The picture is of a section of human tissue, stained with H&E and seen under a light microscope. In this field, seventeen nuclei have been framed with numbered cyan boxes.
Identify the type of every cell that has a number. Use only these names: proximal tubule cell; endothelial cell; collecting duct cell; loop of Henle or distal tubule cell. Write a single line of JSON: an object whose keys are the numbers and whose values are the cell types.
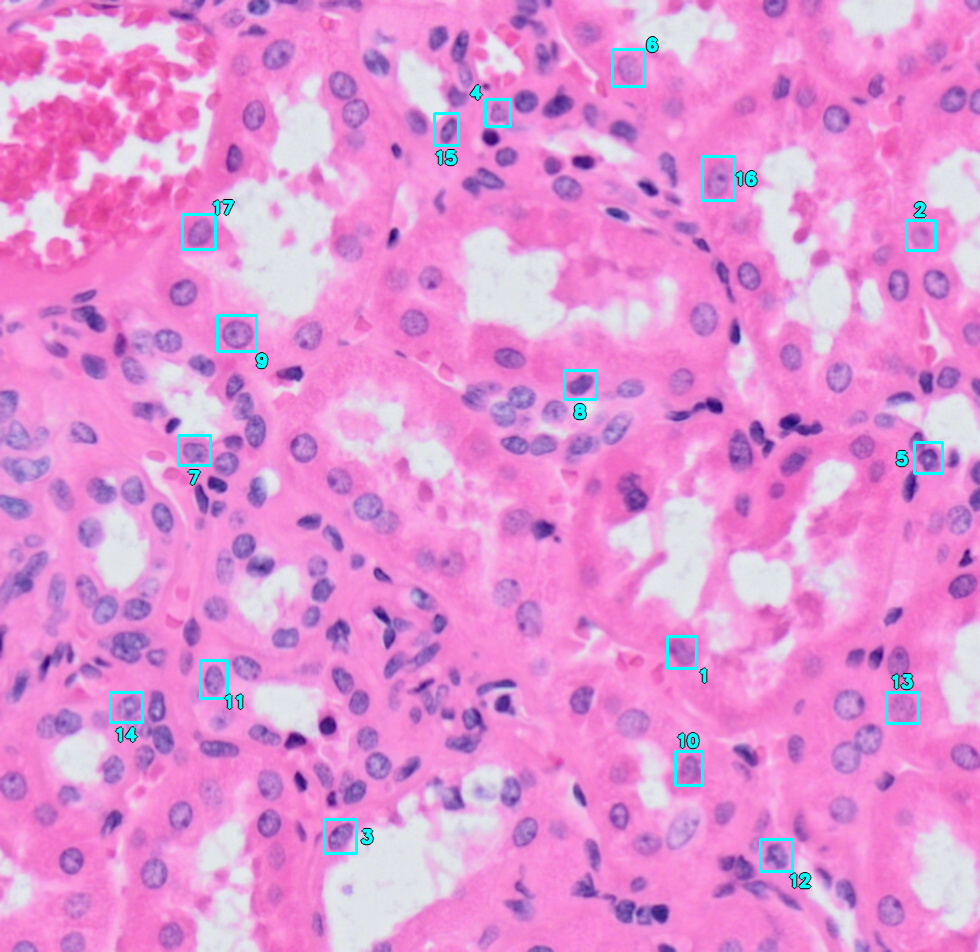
{"1": "proximal tubule cell", "2": "proximal tubule cell", "3": "loop of Henle or distal tubule cell", "4": "collecting duct cell", "5": "collecting duct cell", "6": "proximal tubule cell", "7": "collecting duct cell", "8": "collecting duct cell", "9": "proximal tubule cell", "10": "proximal tubule cell", "11": "collecting duct cell", "12": "collecting duct cell", "13": "proximal tubule cell", "14": "collecting duct cell", "15": "collecting duct cell", "16": "proximal tubule cell", "17": "proximal tubule cell"}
